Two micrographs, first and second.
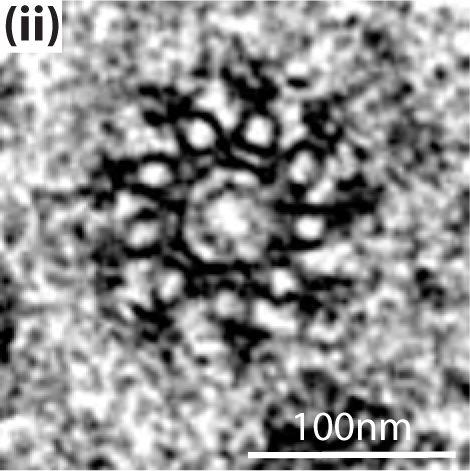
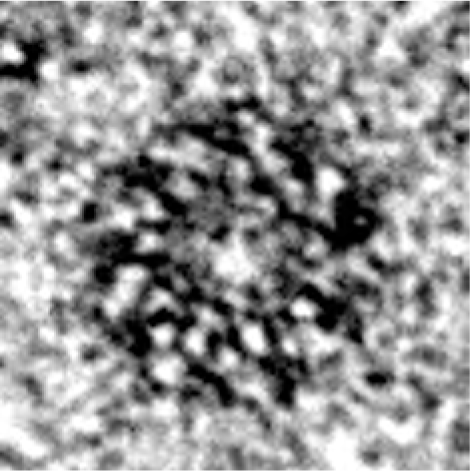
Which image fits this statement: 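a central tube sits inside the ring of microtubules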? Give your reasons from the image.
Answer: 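Second image: a ring of small dense circles around a pale centre with no distinct inner ring. First image: a clear round ring lies in the middle of the circle of small hollow circles. On this evidence: the first image.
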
